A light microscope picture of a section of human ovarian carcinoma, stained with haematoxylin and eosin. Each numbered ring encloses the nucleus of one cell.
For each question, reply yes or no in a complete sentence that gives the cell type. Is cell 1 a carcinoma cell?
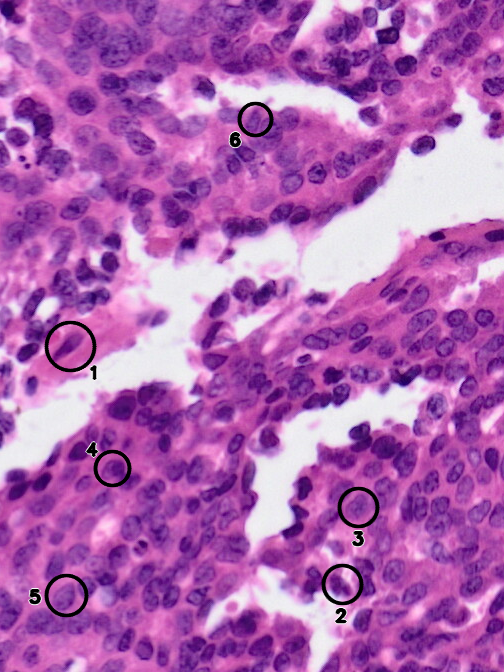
No, the cell carrying number 1 is an endothelial cell rather than a carcinoma cell.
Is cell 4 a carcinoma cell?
Yes, the one numbered 4 is a carcinoma cell.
